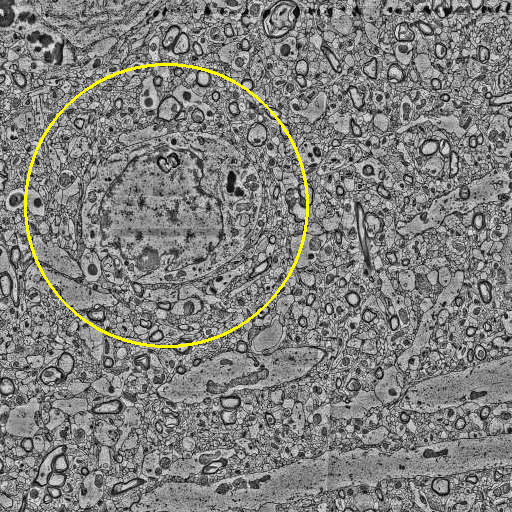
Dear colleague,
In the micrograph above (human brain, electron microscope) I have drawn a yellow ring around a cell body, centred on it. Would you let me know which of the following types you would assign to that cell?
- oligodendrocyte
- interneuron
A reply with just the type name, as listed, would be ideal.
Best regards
interneuron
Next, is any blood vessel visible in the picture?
No.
